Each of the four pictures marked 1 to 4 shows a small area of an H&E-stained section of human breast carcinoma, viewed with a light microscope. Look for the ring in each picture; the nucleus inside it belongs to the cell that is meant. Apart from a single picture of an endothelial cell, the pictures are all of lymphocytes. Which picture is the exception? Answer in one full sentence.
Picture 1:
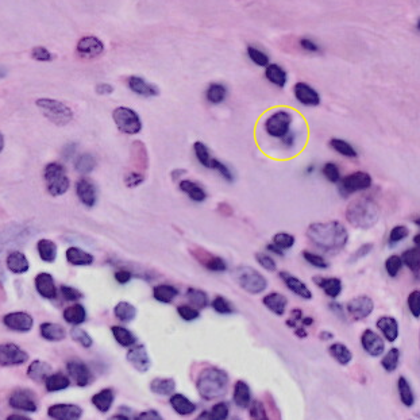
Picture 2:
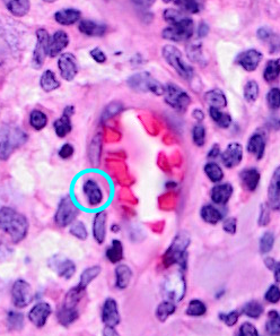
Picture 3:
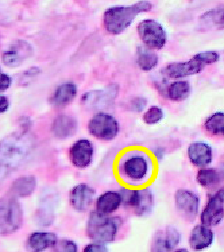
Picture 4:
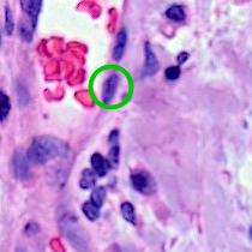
Picture 4 is the one that shows the endothelial cell.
